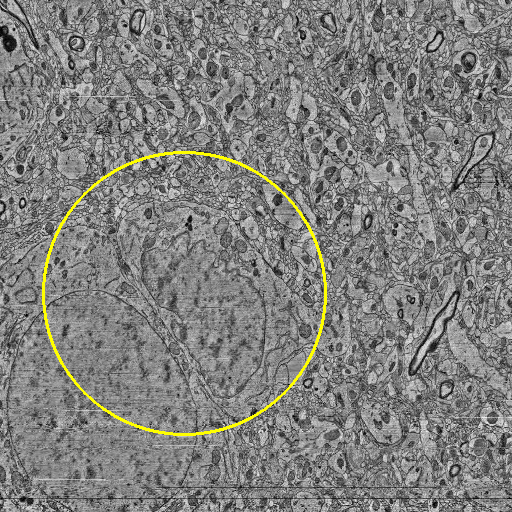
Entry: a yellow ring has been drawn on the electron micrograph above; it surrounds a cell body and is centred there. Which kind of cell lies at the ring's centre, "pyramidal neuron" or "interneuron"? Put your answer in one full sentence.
The cell sitting at the ring's centre is an interneuron in the micrograph above.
